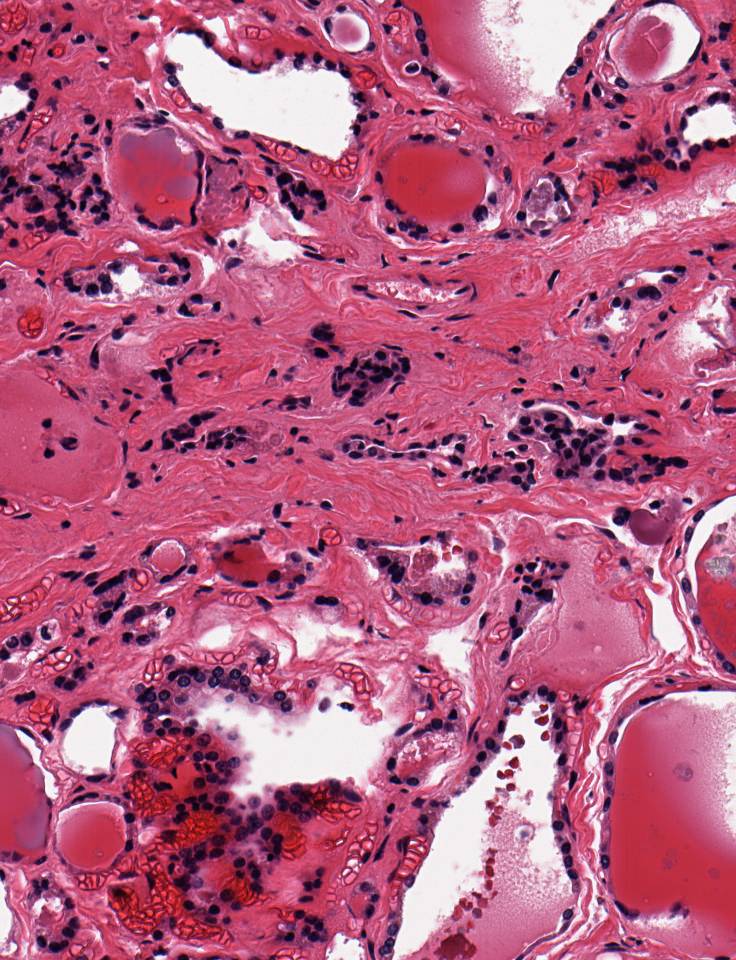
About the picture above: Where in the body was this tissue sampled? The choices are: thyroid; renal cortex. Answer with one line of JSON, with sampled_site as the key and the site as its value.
{"sampled_site": "thyroid"}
